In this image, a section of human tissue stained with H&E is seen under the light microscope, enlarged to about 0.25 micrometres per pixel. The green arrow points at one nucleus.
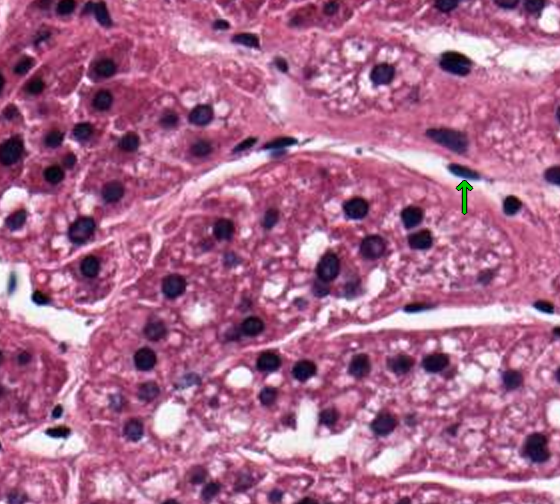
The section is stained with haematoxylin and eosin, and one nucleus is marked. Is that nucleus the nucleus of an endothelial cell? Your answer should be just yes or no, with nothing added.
yes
